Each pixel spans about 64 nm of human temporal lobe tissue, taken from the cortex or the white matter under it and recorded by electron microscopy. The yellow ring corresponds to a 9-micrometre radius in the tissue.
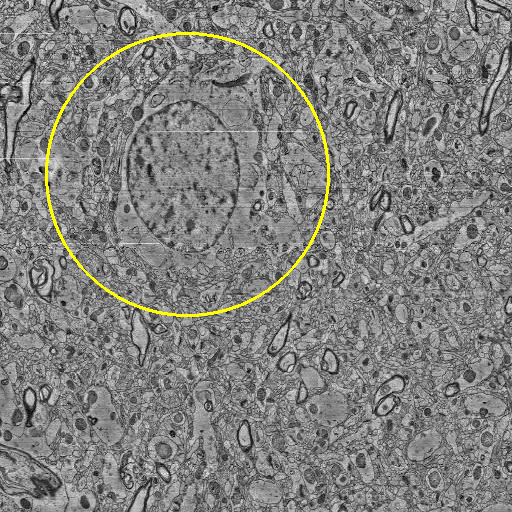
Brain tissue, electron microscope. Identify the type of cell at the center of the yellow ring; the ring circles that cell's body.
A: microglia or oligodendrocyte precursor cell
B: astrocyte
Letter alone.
B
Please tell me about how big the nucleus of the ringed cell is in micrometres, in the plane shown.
In this plane, roughly 10 by 7 micrometres.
